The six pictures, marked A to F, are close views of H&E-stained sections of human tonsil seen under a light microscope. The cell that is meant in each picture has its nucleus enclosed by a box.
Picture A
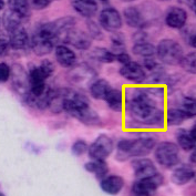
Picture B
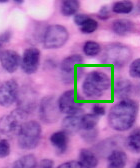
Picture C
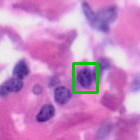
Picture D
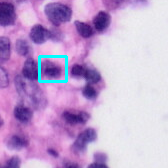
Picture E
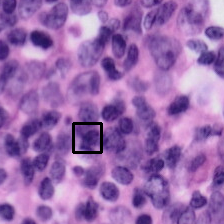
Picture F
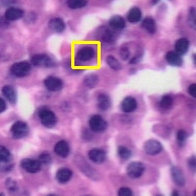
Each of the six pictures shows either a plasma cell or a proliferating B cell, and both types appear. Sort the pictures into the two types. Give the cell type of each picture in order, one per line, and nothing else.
proliferating B cell
proliferating B cell
plasma cell
proliferating B cell
proliferating B cell
plasma cell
